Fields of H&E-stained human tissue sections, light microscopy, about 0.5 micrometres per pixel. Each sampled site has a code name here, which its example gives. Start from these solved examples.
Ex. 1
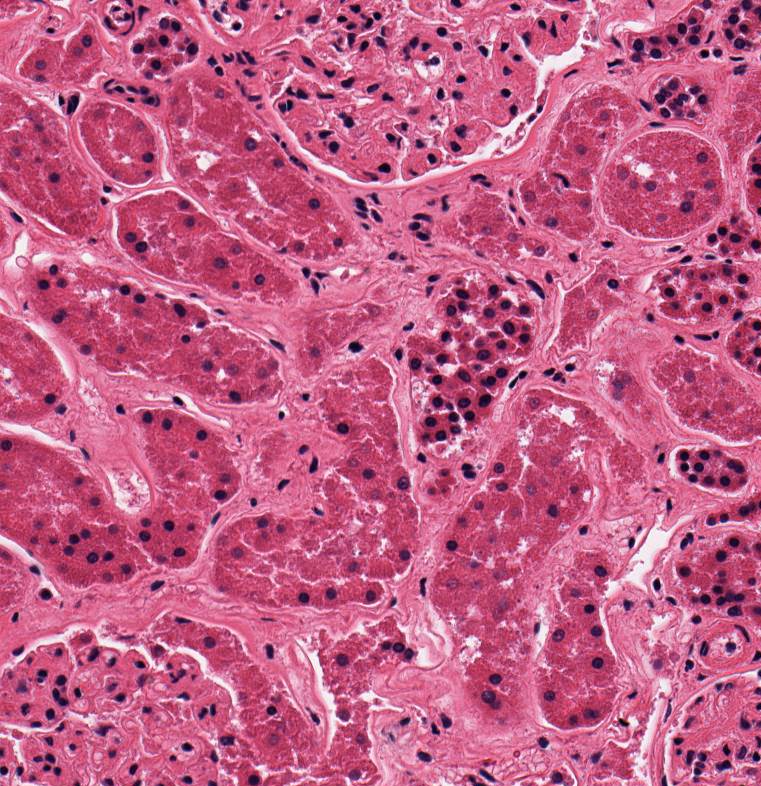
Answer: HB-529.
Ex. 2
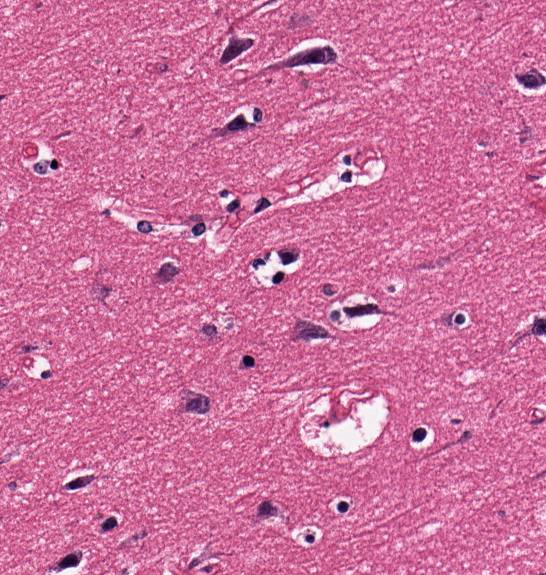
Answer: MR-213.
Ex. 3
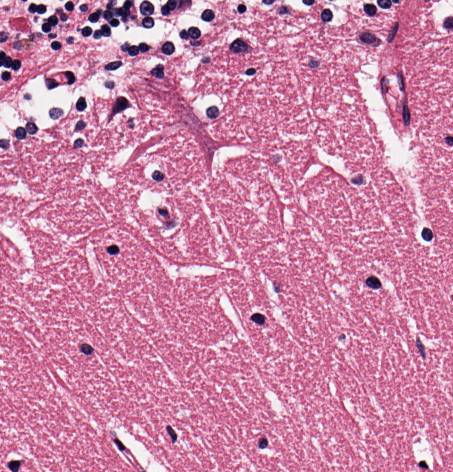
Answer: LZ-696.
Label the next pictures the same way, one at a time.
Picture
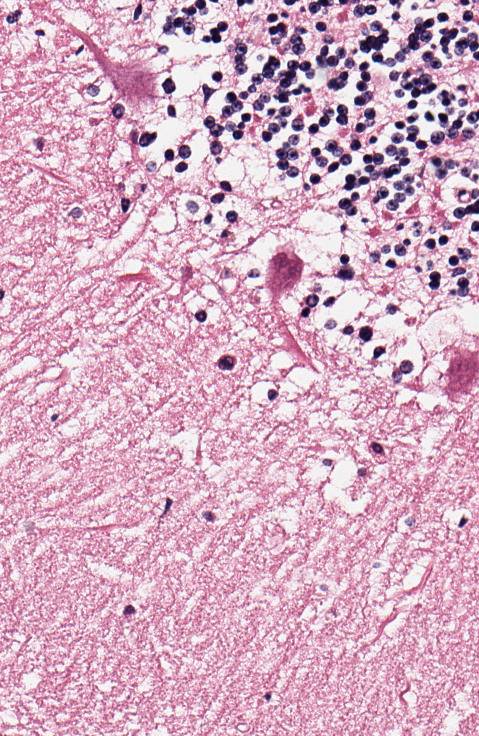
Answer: LZ-696.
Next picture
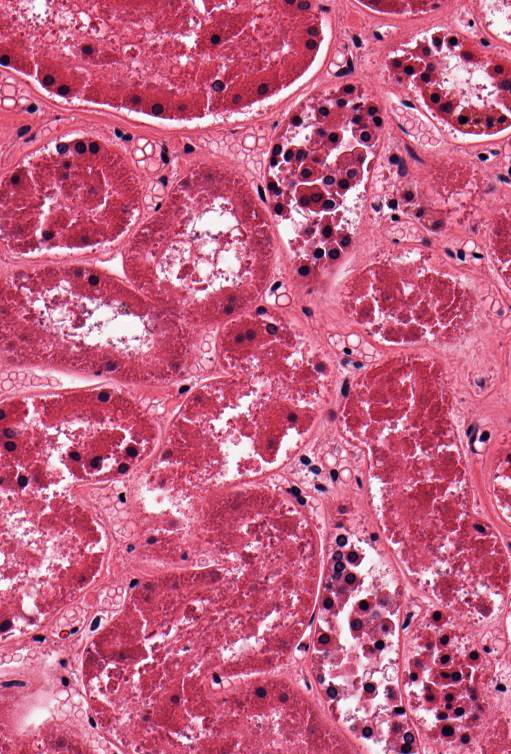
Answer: HB-529.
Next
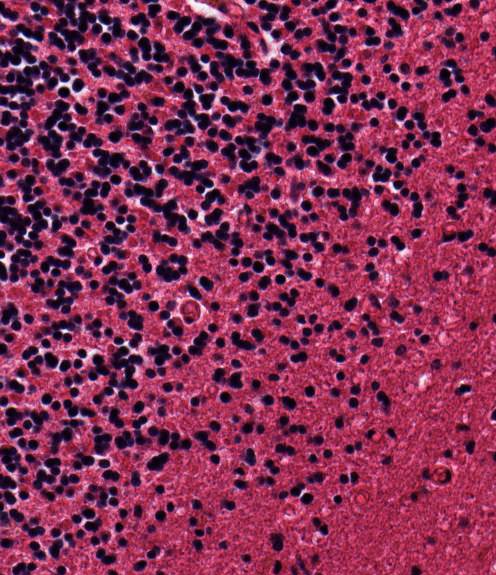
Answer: LZ-696.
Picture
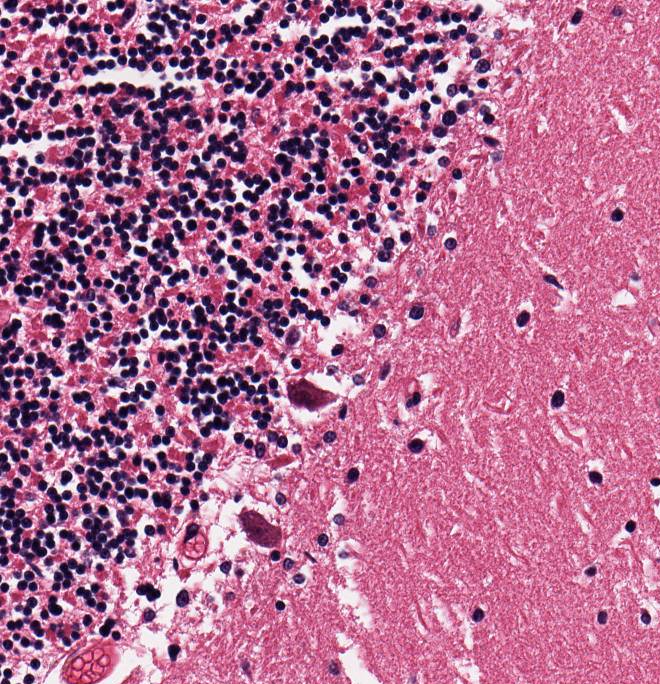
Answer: LZ-696.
